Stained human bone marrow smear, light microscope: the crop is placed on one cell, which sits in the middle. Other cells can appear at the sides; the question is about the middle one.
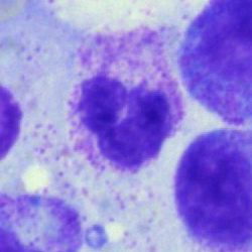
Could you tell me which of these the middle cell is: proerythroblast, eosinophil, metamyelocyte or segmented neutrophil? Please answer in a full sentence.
Present in the middle of the crop is a segmented neutrophil.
